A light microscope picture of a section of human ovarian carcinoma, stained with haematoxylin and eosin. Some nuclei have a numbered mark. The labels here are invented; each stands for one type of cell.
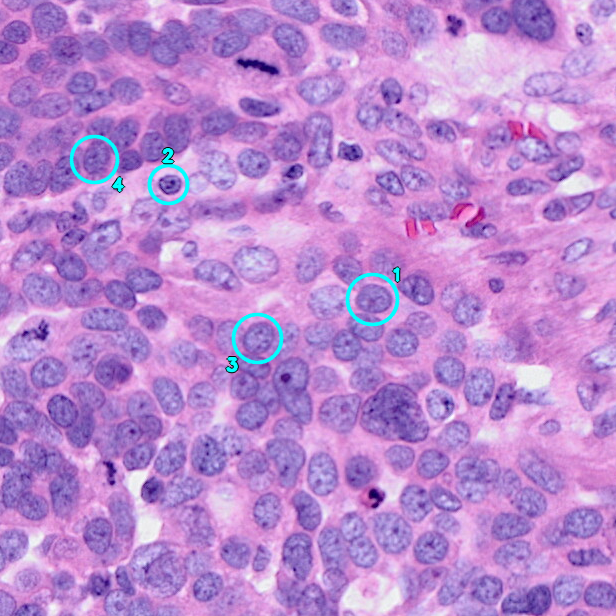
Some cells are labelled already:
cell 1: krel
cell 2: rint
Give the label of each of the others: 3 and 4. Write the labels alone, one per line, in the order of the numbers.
krel
krel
